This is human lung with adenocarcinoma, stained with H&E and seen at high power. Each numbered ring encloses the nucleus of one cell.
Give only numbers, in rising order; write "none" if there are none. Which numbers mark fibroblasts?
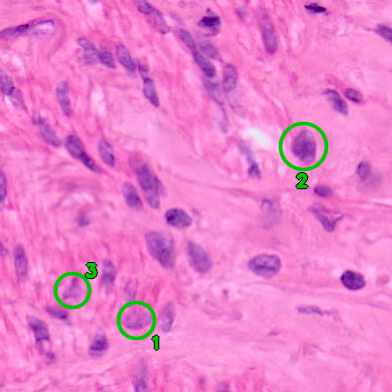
2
